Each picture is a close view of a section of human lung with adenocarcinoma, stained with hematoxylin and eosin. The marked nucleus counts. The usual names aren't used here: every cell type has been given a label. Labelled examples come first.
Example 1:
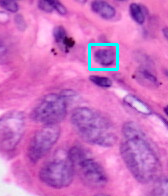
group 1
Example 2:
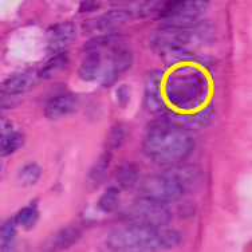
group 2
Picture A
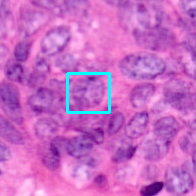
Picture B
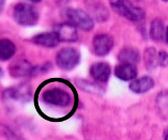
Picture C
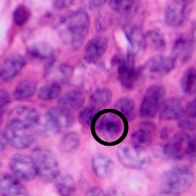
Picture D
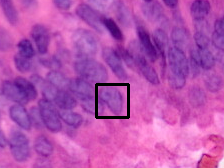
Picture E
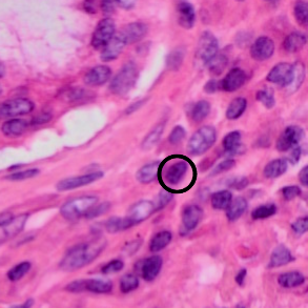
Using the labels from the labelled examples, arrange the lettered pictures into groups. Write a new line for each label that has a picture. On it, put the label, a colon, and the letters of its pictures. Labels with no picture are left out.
group 1: B, E
group 2: A, C, D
